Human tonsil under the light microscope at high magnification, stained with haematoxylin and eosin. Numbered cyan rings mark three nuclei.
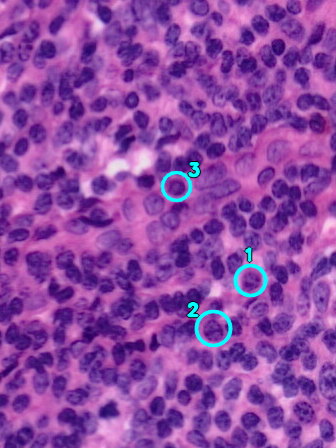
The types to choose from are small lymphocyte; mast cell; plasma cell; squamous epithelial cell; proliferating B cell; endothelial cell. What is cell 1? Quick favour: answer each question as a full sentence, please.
In the tissue shown, cell 1 is a plasma cell.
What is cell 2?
To a plasma cell belongs the nucleus marked 2.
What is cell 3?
The cell assigned the number 3 is an endothelial cell.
